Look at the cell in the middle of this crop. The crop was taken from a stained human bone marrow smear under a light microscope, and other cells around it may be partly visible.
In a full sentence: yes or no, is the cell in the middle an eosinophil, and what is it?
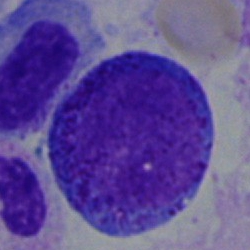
No, the central cell is a promyelocyte; it should not be labelled an eosinophil.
